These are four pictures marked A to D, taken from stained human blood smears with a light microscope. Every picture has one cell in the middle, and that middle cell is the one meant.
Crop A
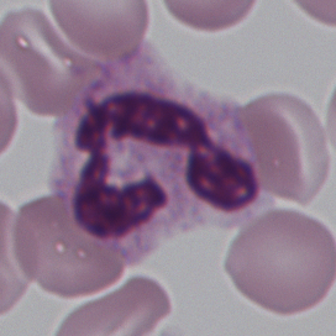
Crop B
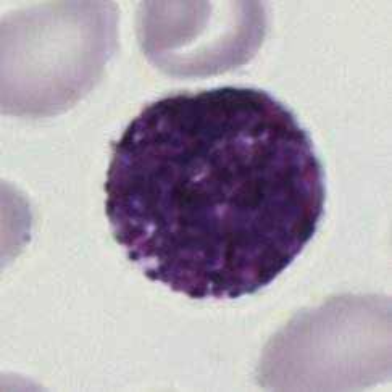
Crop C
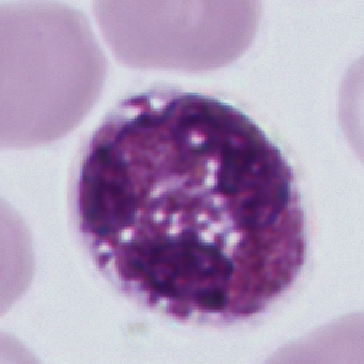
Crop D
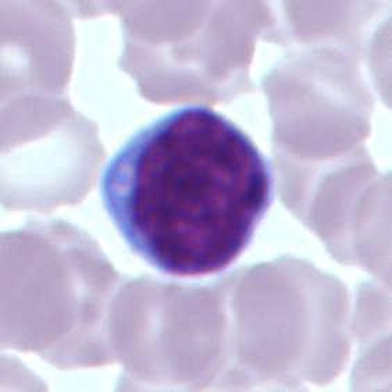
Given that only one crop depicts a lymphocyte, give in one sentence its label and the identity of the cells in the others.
At the centre of crop D lies a lymphocyte, while crop A is a neutrophil, crop B is a basophil and crop C is an eosinophil.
